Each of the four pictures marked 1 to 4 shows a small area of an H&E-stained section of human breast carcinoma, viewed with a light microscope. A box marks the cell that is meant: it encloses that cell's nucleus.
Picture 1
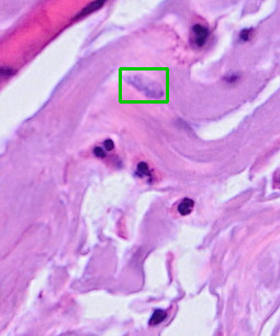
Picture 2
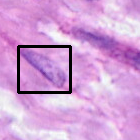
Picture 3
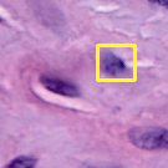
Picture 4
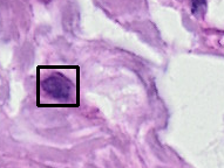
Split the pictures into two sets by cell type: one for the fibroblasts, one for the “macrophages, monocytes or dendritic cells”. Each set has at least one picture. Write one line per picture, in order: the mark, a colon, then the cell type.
1: fibroblast
2: fibroblast
3: fibroblast
4: macrophage, monocyte or dendritic cell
